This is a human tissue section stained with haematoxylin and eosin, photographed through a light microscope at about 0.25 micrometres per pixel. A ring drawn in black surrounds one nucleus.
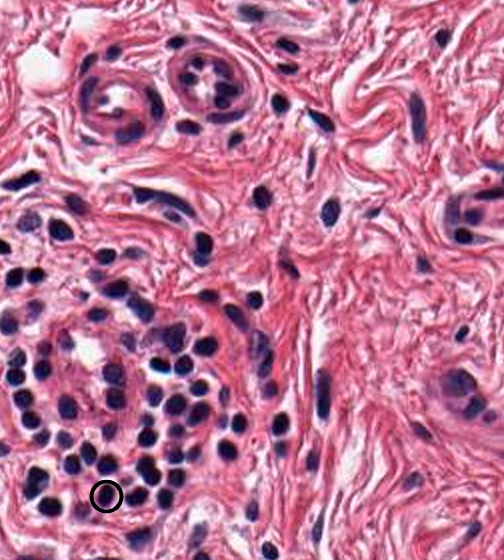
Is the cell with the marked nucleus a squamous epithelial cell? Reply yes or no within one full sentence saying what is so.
No, the marked nucleus is not borne by a squamous epithelial cell; it is borne by a supporting cell.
